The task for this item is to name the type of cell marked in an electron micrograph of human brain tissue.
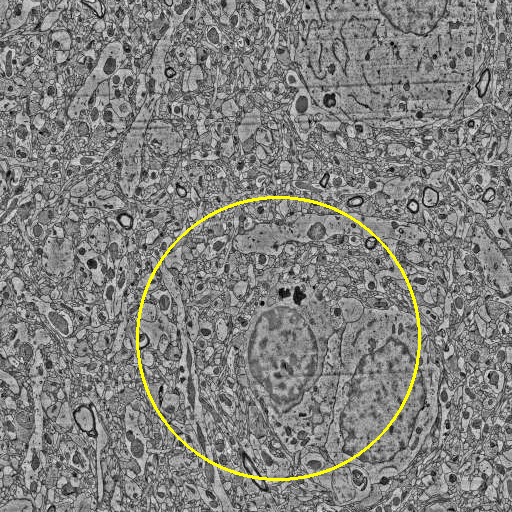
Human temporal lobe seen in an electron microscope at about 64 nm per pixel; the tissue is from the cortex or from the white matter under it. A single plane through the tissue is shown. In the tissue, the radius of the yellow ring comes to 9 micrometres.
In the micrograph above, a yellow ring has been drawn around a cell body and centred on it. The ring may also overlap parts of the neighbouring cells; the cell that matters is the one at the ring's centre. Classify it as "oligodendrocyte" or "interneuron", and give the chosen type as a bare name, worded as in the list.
oligodendrocyte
